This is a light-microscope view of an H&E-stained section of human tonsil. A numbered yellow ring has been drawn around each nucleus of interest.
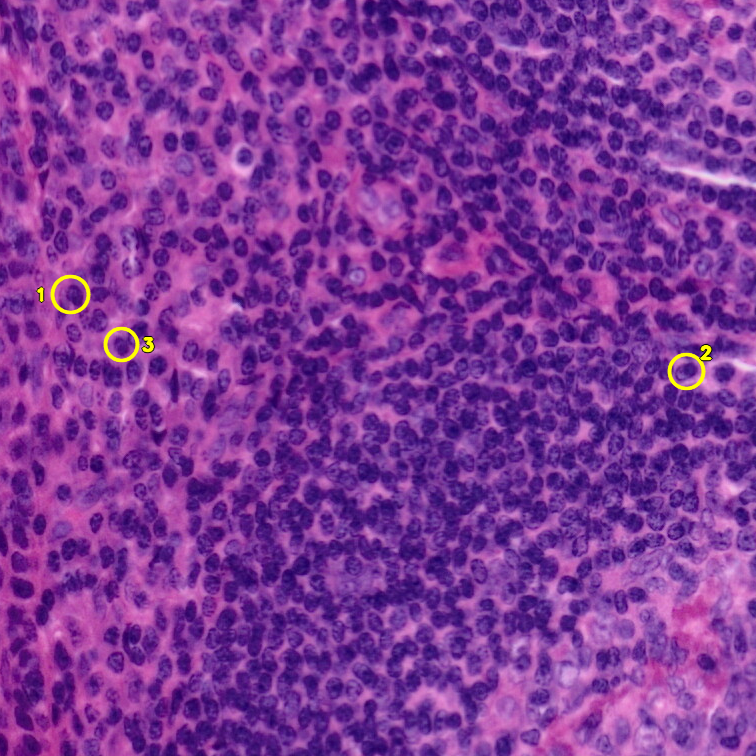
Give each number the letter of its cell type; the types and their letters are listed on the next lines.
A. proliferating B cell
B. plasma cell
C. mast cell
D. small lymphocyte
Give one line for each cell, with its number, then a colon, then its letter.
1: B
2: D
3: B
